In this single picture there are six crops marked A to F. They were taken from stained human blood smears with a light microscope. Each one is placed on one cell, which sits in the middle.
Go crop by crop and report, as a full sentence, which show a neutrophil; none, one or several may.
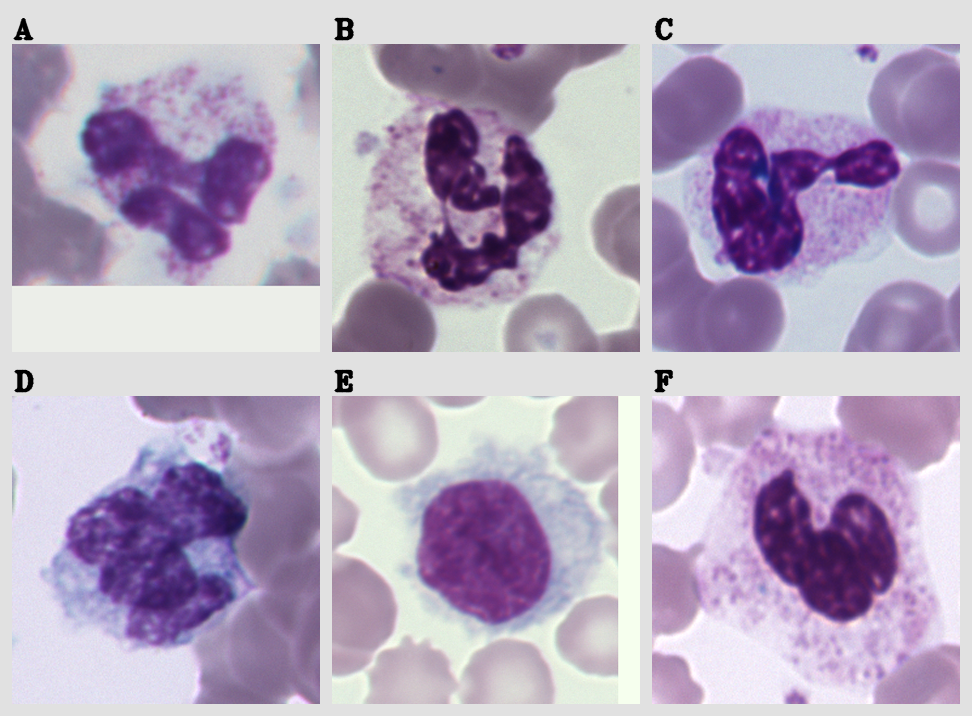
The cells being asked about in crops A, B, C and F are neutrophils.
